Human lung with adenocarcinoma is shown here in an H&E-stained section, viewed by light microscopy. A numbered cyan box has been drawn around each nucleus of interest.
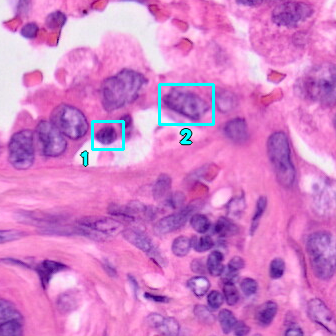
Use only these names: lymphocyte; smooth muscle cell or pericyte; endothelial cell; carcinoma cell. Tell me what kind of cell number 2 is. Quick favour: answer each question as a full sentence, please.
Heads up, the cell numbered 2 is a carcinoma cell.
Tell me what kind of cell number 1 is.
The cell tagged with 1 in this tissue section is a lymphocyte.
